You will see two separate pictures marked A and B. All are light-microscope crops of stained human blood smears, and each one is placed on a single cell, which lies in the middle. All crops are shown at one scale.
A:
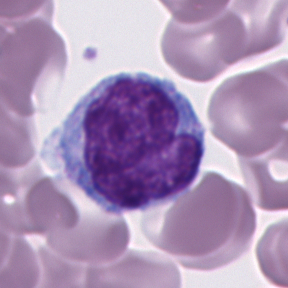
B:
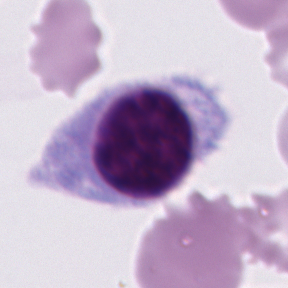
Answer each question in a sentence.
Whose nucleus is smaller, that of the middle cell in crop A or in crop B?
Smaller is the nucleus in crop B, and the other is about 1.5 times as large in area.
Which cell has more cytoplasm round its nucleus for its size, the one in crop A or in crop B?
It is the cell in crop B that is filled less by its nucleus.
